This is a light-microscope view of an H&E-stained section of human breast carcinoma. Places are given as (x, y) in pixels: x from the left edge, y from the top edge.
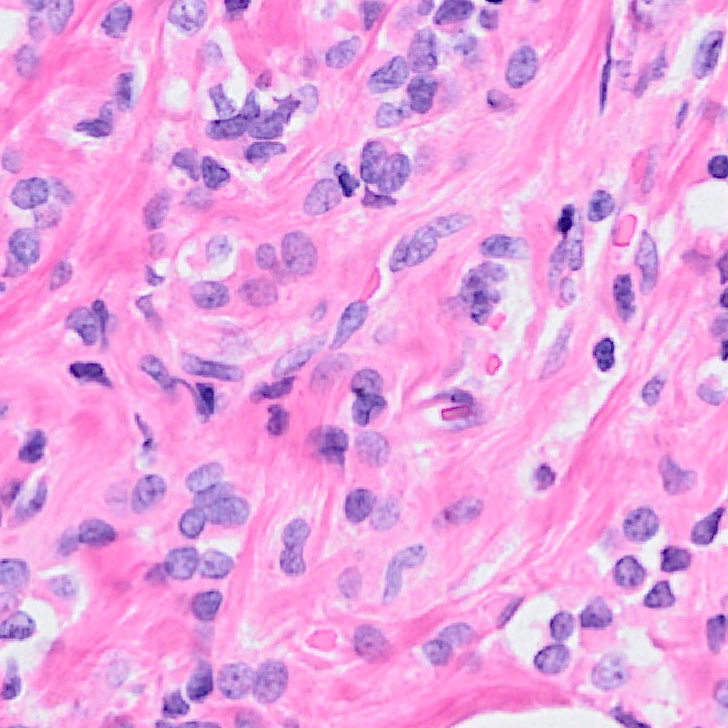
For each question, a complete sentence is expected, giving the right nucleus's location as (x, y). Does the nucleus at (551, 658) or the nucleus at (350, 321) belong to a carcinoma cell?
The nucleus at position (551, 658) belongs to a carcinoma cell.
